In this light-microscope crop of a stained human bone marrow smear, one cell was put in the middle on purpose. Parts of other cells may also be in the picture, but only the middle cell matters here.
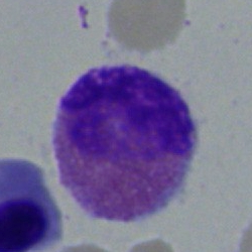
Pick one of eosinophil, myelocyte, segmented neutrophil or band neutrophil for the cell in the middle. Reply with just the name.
eosinophil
